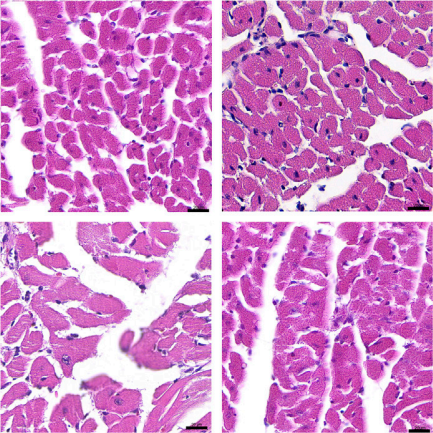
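These are sections of heart muscle stained with hematoxylin and eosin, with the heart muscle cells mostly cut across their length. Each cell appears as a polygonal or rounded profile with strongly pink cytoplasm. The profiles fit closely together like tiles, separated by thin pale clefts of connective tissue. Dark purple-blue nuclei lie inside many of the muscle cells, often one per profile and near its centre. Smaller, darker, elongated nuclei sit in the narrow spaces between fibres. In some fields the fibres are cut more obliquely, so the profiles look stretched. There are also wider white gaps where the tissue has separated.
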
